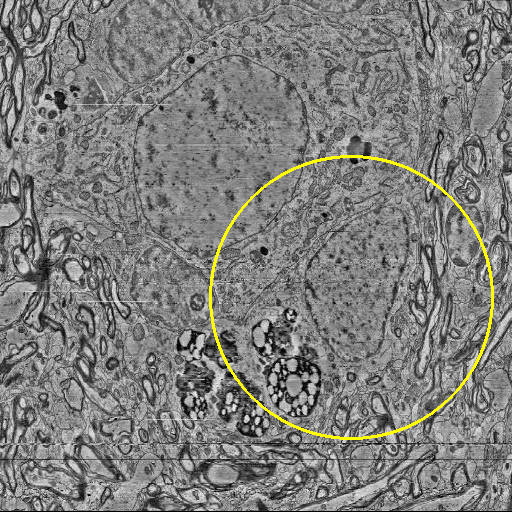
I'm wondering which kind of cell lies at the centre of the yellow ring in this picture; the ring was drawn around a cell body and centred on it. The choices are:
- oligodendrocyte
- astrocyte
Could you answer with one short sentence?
At the centre of the ring lies an astrocyte.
